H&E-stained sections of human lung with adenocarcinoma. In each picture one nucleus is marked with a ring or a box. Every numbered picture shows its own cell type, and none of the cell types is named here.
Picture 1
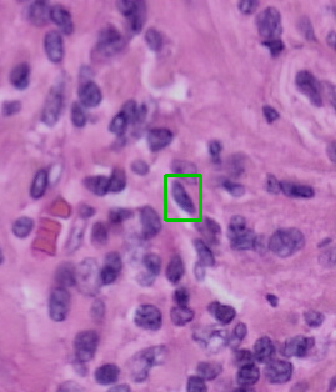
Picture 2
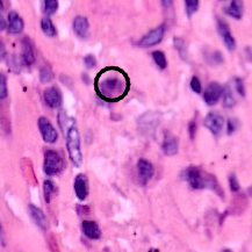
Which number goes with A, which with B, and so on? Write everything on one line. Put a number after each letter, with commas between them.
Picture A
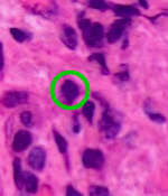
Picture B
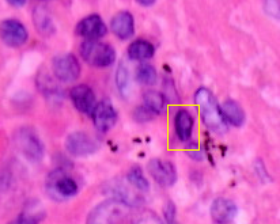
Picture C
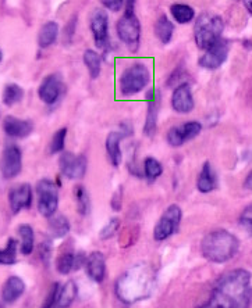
A 2, B 2, C 1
